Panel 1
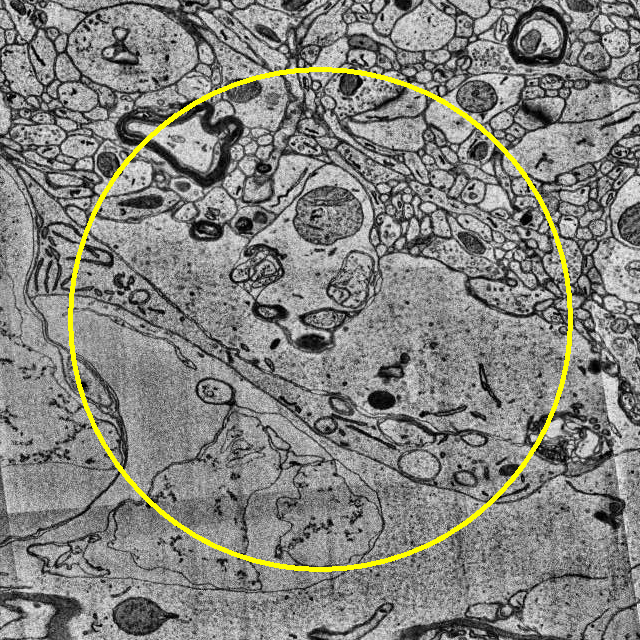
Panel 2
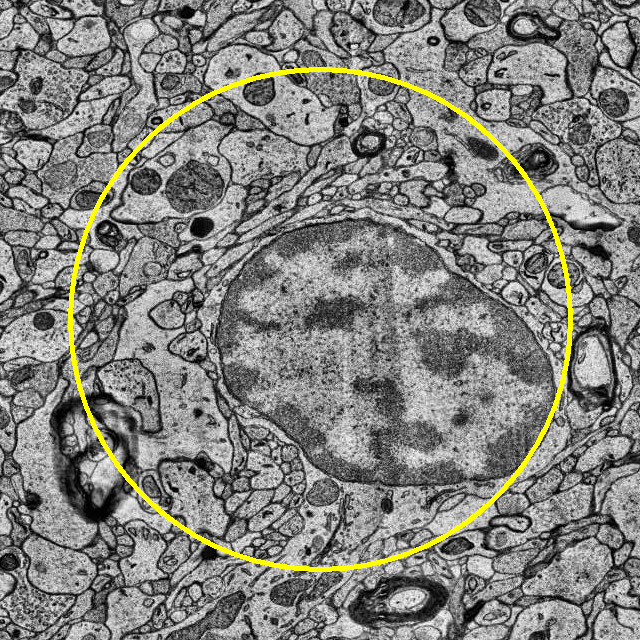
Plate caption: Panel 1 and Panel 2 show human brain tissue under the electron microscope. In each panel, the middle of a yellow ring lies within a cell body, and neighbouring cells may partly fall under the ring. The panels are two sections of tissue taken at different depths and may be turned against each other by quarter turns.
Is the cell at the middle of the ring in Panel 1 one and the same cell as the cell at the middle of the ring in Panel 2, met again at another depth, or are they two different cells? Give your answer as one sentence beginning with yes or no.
No, the two rings are drawn around two distinct cells.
